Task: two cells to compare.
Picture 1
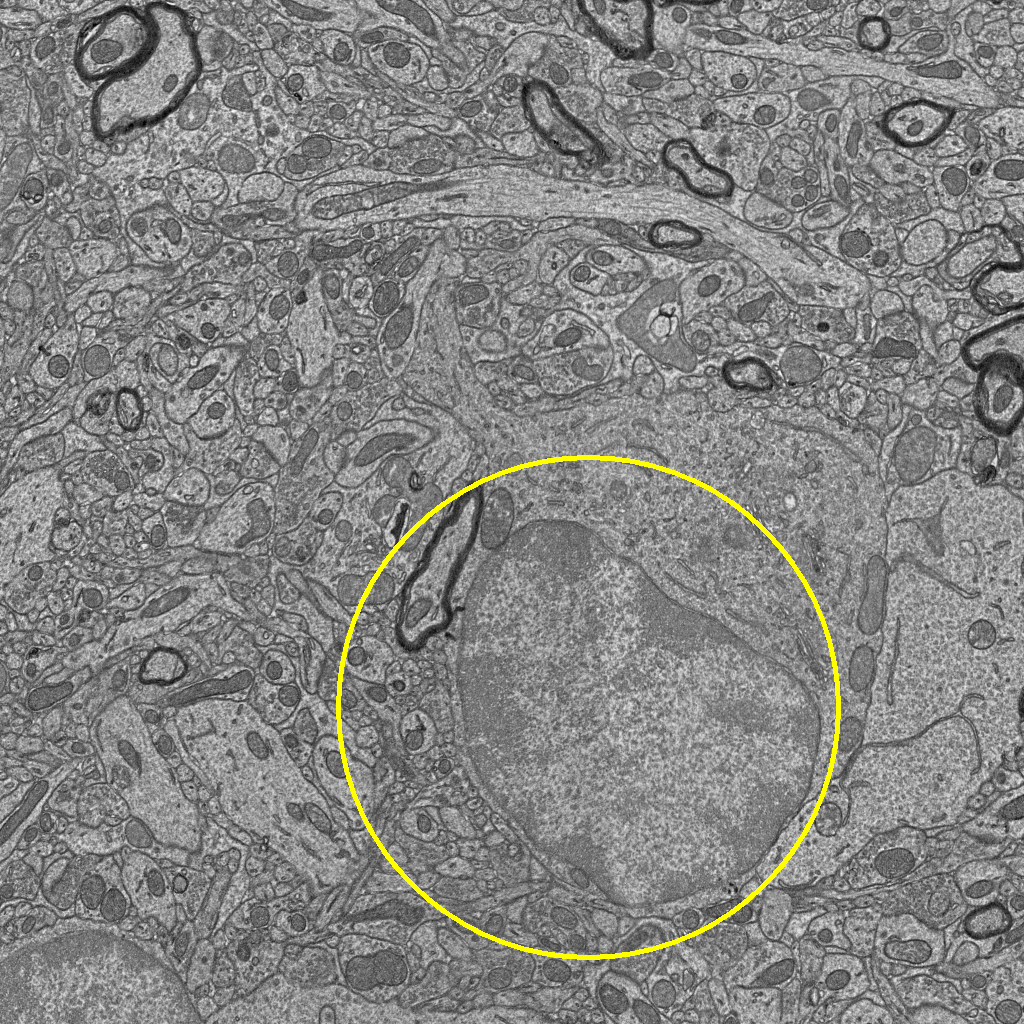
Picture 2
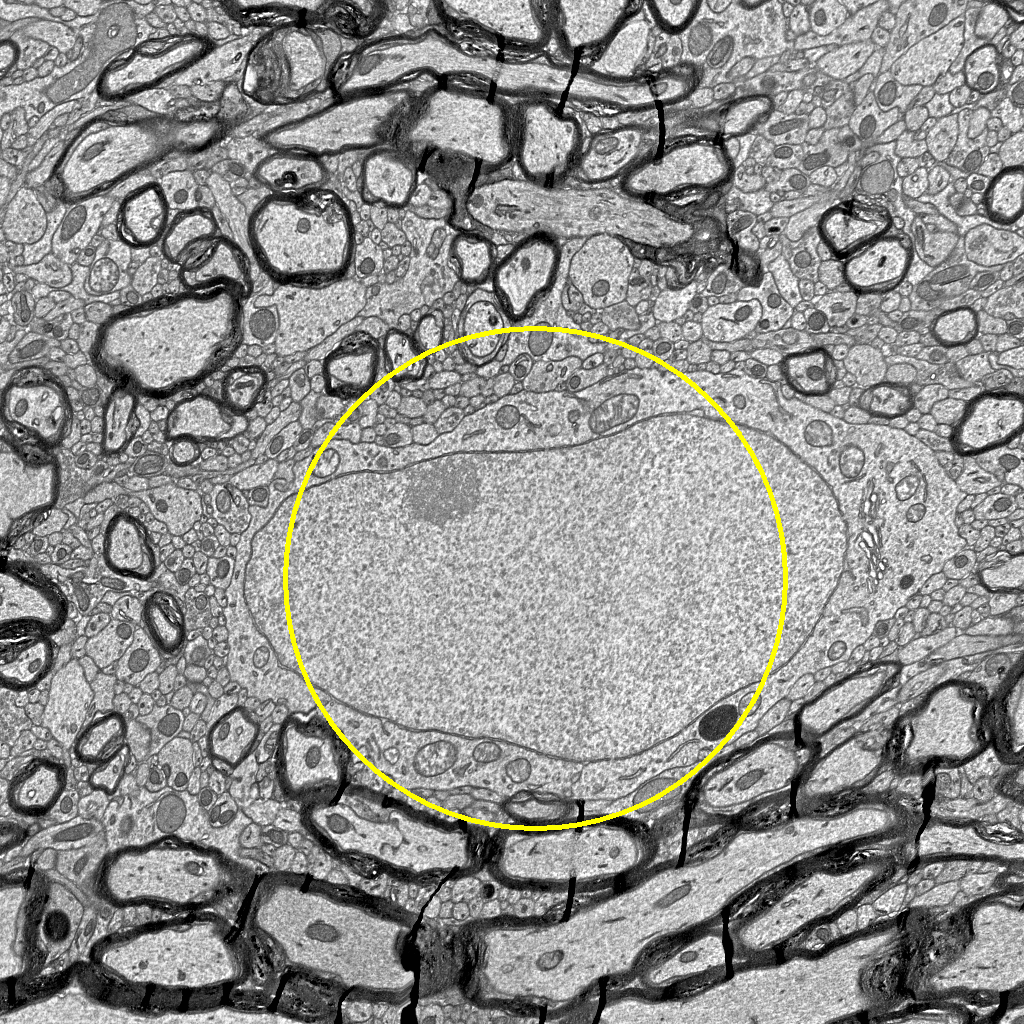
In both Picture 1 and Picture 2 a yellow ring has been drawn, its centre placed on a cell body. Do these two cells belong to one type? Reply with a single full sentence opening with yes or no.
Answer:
No, the two cells at the ring centres in Picture 1 and Picture 2 are of two types.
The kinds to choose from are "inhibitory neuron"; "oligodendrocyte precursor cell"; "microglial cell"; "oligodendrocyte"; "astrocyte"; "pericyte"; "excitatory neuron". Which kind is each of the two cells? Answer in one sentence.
The first of the two cells is an oligodendrocyte, and the second is an excitatory neuron.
